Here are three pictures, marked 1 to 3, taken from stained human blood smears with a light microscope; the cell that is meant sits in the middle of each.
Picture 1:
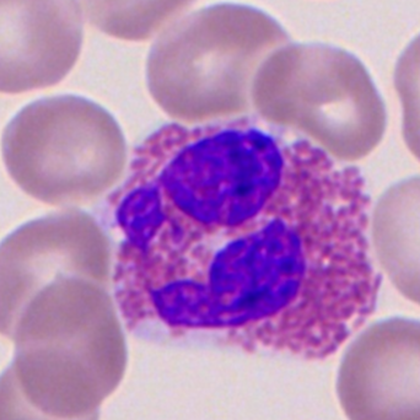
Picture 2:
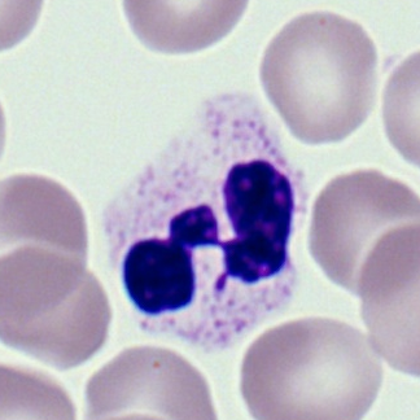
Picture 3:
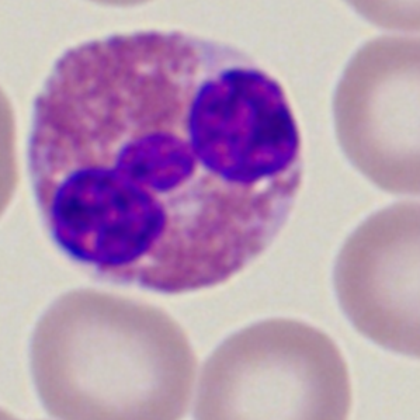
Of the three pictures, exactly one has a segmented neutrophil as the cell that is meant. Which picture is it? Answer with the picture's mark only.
2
